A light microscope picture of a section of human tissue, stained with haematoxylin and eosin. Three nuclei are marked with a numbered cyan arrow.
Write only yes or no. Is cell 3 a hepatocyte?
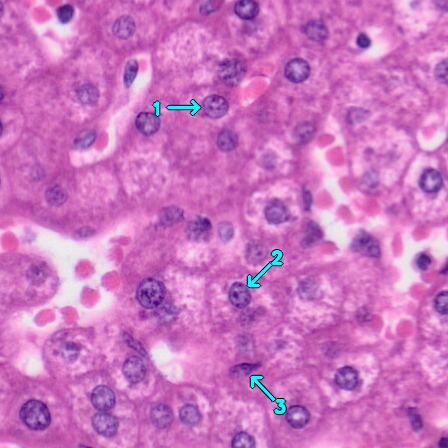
no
